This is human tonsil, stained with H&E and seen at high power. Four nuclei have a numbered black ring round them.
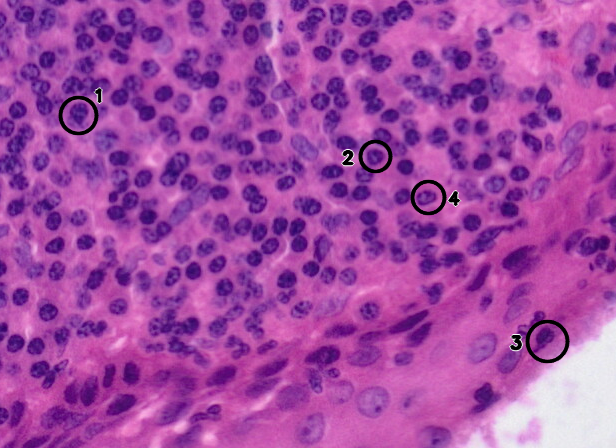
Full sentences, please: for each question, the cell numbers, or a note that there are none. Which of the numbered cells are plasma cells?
Here, the cells that carry numbers 1, 2 and 4 are plasma cells.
